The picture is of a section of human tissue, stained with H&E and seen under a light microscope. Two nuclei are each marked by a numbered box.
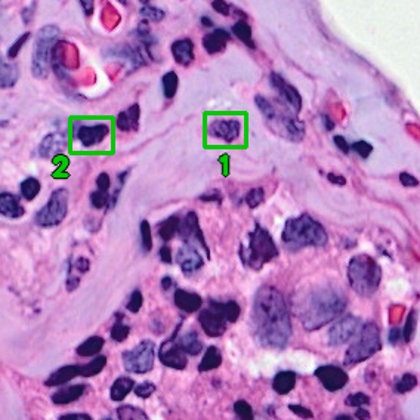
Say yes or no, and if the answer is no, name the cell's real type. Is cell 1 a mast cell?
Yes.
